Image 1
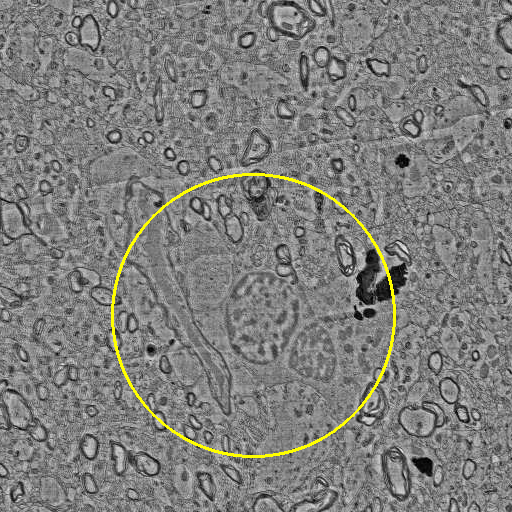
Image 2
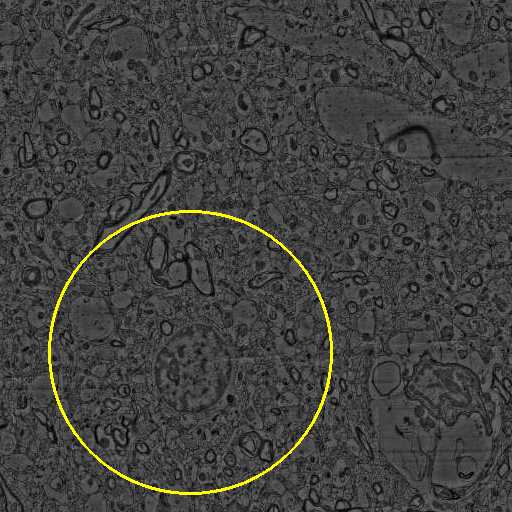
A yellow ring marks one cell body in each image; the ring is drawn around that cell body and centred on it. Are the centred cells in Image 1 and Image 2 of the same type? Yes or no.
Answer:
yes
